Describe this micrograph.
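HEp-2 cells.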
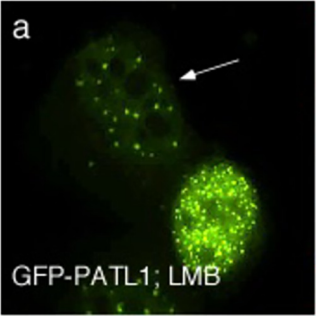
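Two cultured cells with green fluorescence concentrated in their nuclei. The lower cell has an oval nucleus densely filled with many fine bright green speckles. The upper cell shows a fainter nucleus with a smaller number of distinct green dots and darker rounded holes. Faint diffuse green fills the cytoplasm, and a white arrow points at the upper cell.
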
